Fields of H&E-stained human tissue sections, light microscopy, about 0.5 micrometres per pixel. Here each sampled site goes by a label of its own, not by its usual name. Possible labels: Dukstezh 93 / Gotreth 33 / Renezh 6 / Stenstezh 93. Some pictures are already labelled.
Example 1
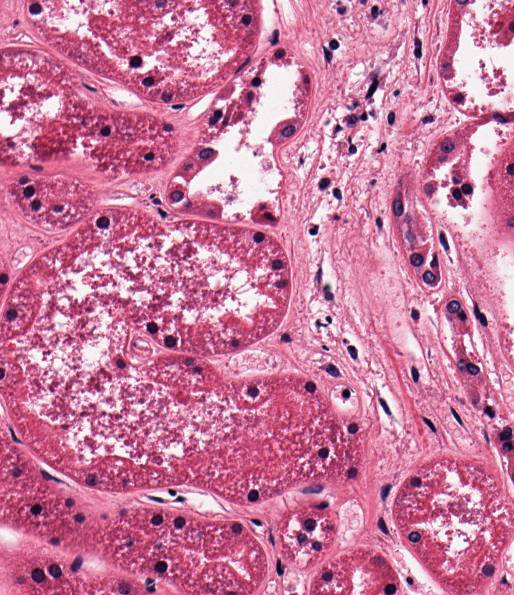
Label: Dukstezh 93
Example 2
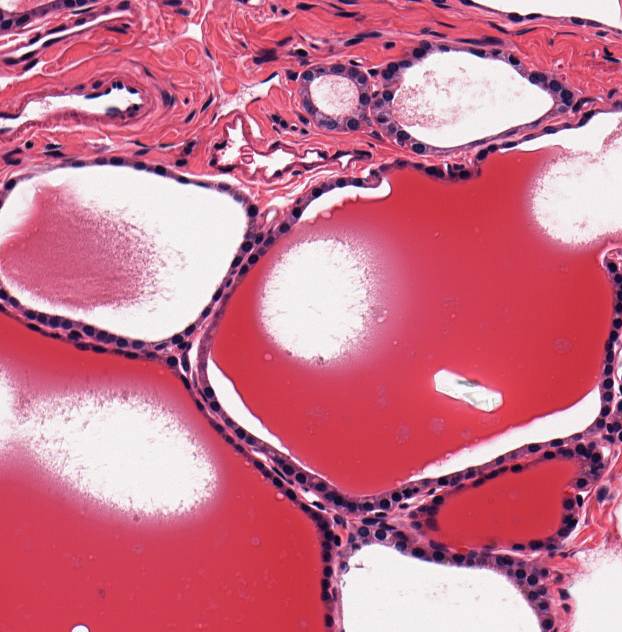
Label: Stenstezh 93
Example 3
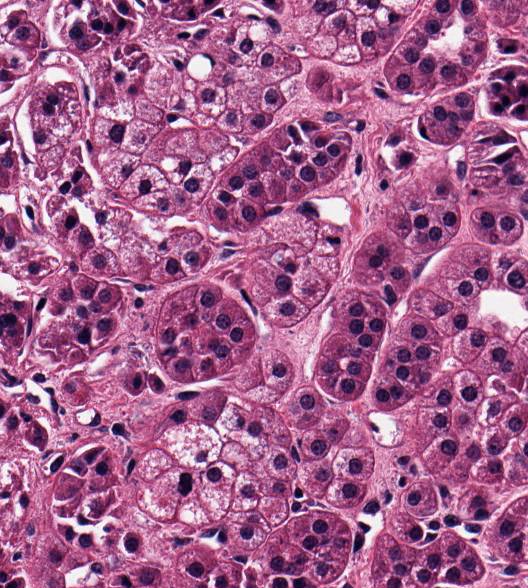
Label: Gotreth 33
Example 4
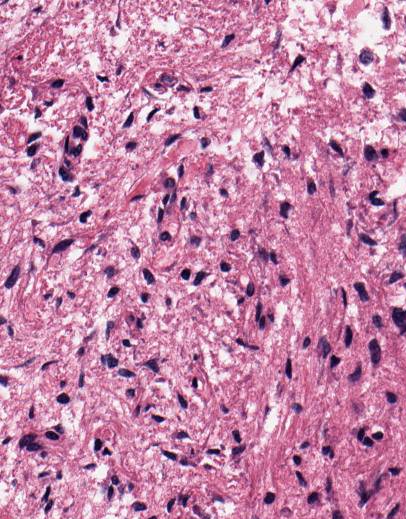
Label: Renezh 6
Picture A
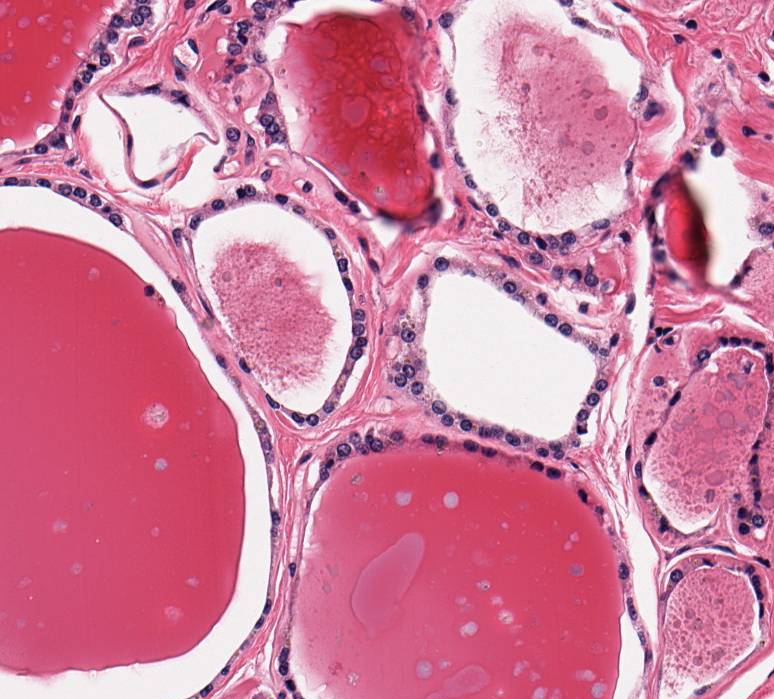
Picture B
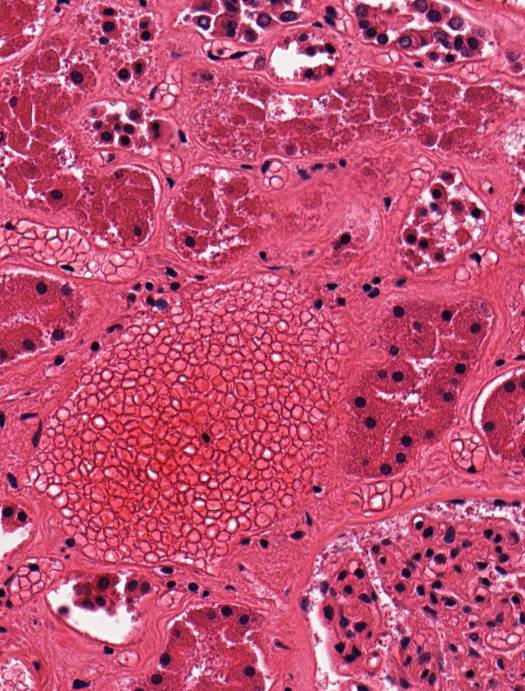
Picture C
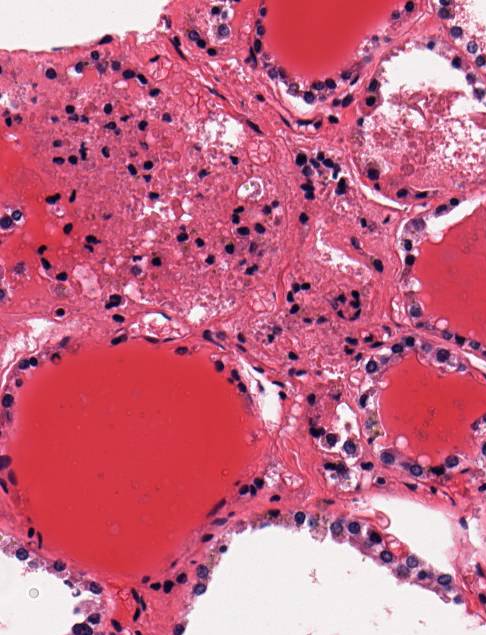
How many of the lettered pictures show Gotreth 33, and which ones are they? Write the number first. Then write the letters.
0, none of them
